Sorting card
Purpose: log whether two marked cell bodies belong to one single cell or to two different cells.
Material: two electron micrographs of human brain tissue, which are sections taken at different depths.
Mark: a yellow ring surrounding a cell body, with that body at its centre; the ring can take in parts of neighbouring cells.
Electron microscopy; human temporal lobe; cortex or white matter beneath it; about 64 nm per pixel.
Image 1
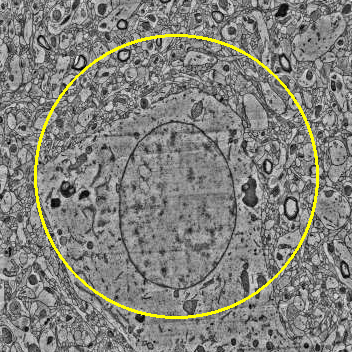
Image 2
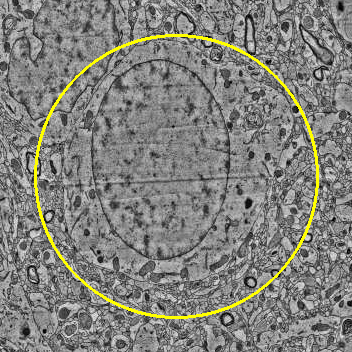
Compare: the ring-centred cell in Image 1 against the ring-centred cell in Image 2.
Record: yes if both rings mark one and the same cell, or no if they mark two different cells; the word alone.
no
